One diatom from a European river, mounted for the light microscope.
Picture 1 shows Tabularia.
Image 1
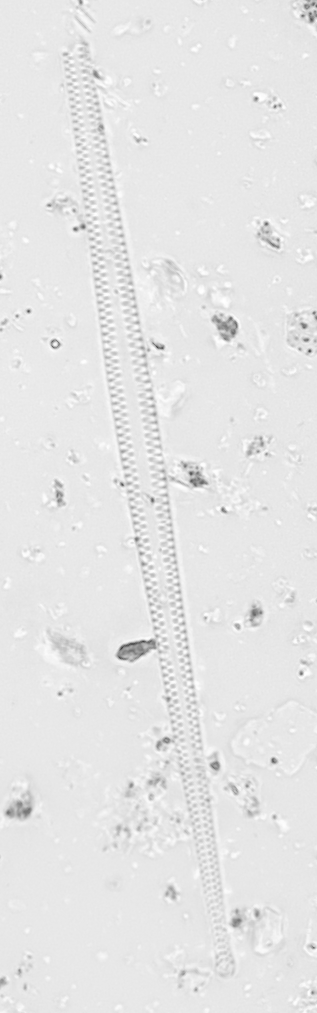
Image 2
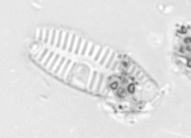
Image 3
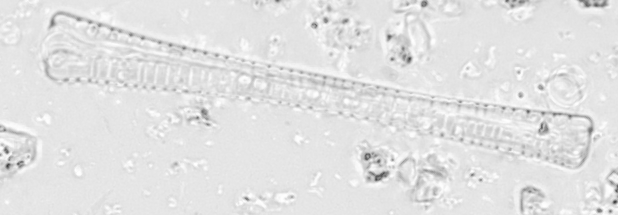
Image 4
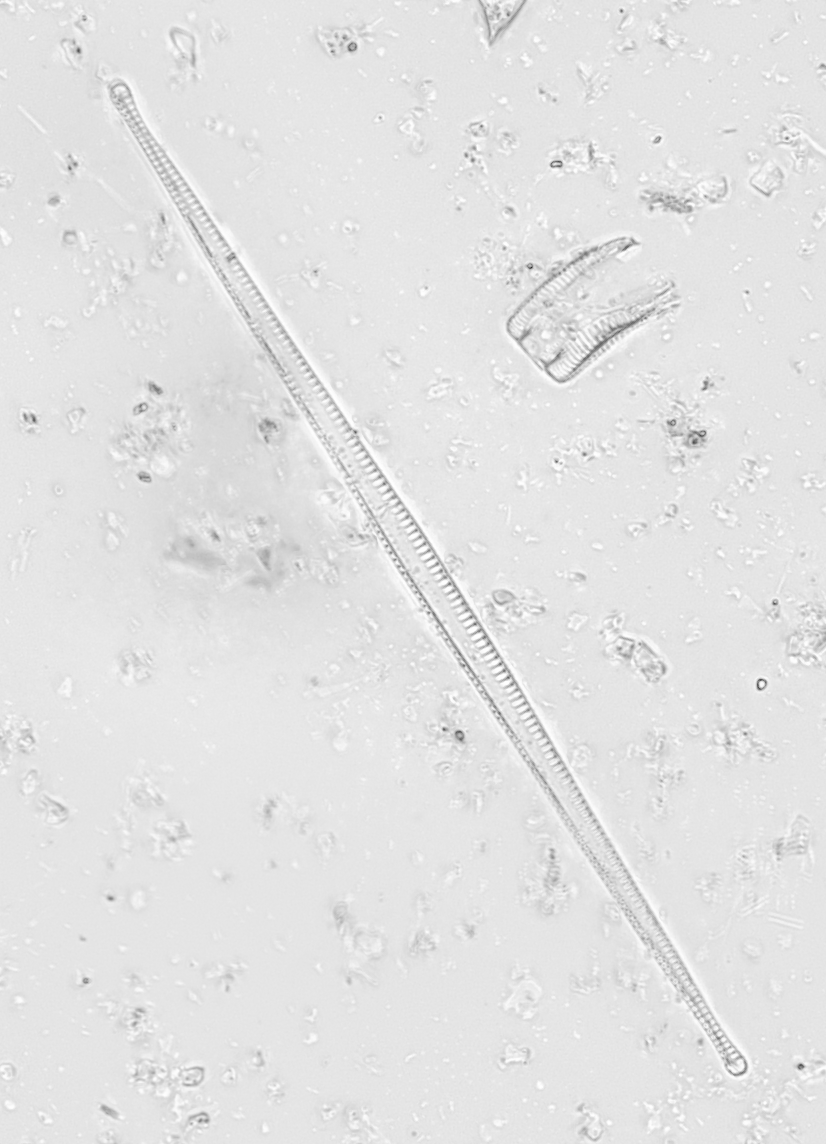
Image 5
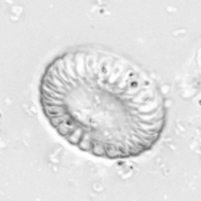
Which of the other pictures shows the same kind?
Picture 4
